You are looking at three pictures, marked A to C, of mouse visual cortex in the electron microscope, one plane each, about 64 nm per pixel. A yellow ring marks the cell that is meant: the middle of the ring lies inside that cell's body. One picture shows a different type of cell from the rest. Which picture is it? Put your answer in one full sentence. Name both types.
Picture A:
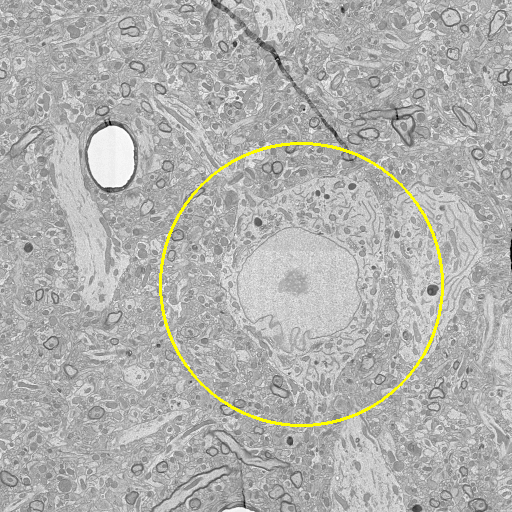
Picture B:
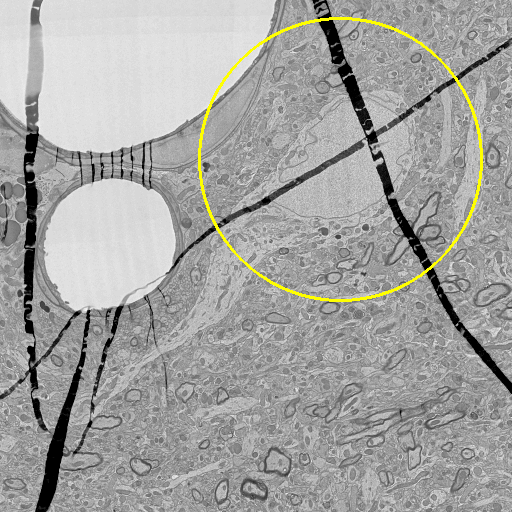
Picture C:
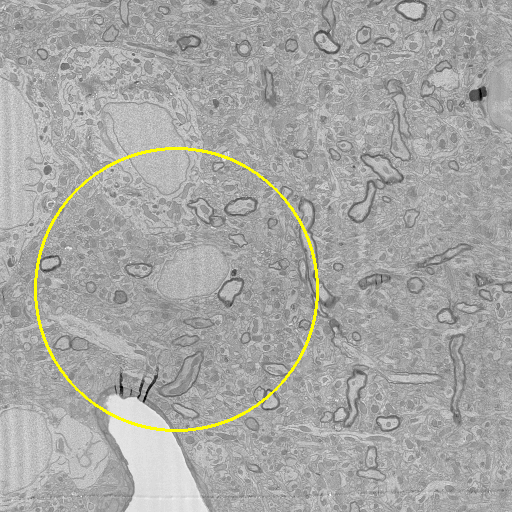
The different one is picture C; it shows an oligodendrocyte precursor cell, whereas all the others show inhibitory neurons.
